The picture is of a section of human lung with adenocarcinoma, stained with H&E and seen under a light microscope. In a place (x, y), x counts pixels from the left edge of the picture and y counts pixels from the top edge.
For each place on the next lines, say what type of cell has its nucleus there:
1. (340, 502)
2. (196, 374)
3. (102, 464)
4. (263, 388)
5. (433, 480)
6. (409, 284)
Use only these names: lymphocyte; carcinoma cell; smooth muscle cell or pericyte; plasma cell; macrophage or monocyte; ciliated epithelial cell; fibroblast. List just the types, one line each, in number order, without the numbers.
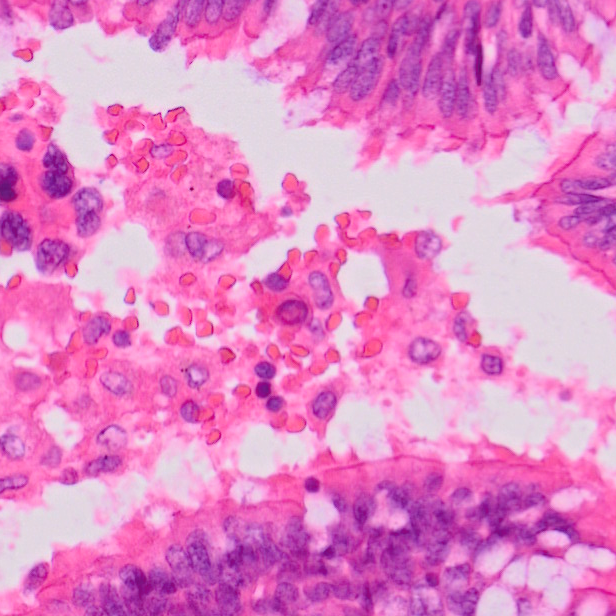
ciliated epithelial cell
macrophage or monocyte
macrophage or monocyte
lymphocyte
ciliated epithelial cell
macrophage or monocyte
